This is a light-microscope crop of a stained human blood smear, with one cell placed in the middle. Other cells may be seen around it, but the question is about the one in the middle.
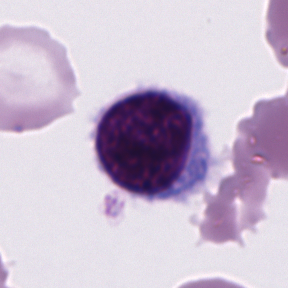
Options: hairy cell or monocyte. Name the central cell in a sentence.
Here the centrally located cell is a hairy cell.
